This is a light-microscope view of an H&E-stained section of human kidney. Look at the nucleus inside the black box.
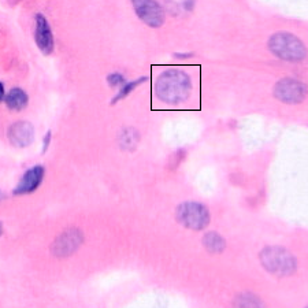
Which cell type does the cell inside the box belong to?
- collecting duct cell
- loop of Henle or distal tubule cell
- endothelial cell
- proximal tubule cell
proximal tubule cell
